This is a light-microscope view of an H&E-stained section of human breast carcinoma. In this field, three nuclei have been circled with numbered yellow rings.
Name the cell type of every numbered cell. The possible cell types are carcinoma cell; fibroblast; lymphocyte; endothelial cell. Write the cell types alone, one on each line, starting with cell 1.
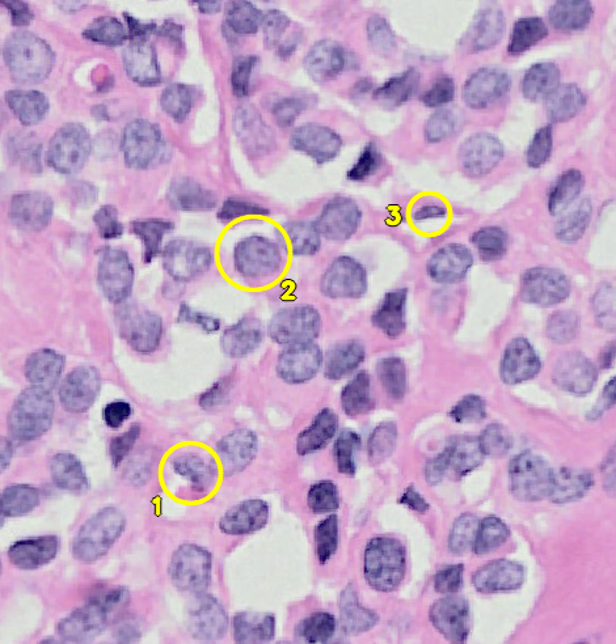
endothelial cell
carcinoma cell
endothelial cell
